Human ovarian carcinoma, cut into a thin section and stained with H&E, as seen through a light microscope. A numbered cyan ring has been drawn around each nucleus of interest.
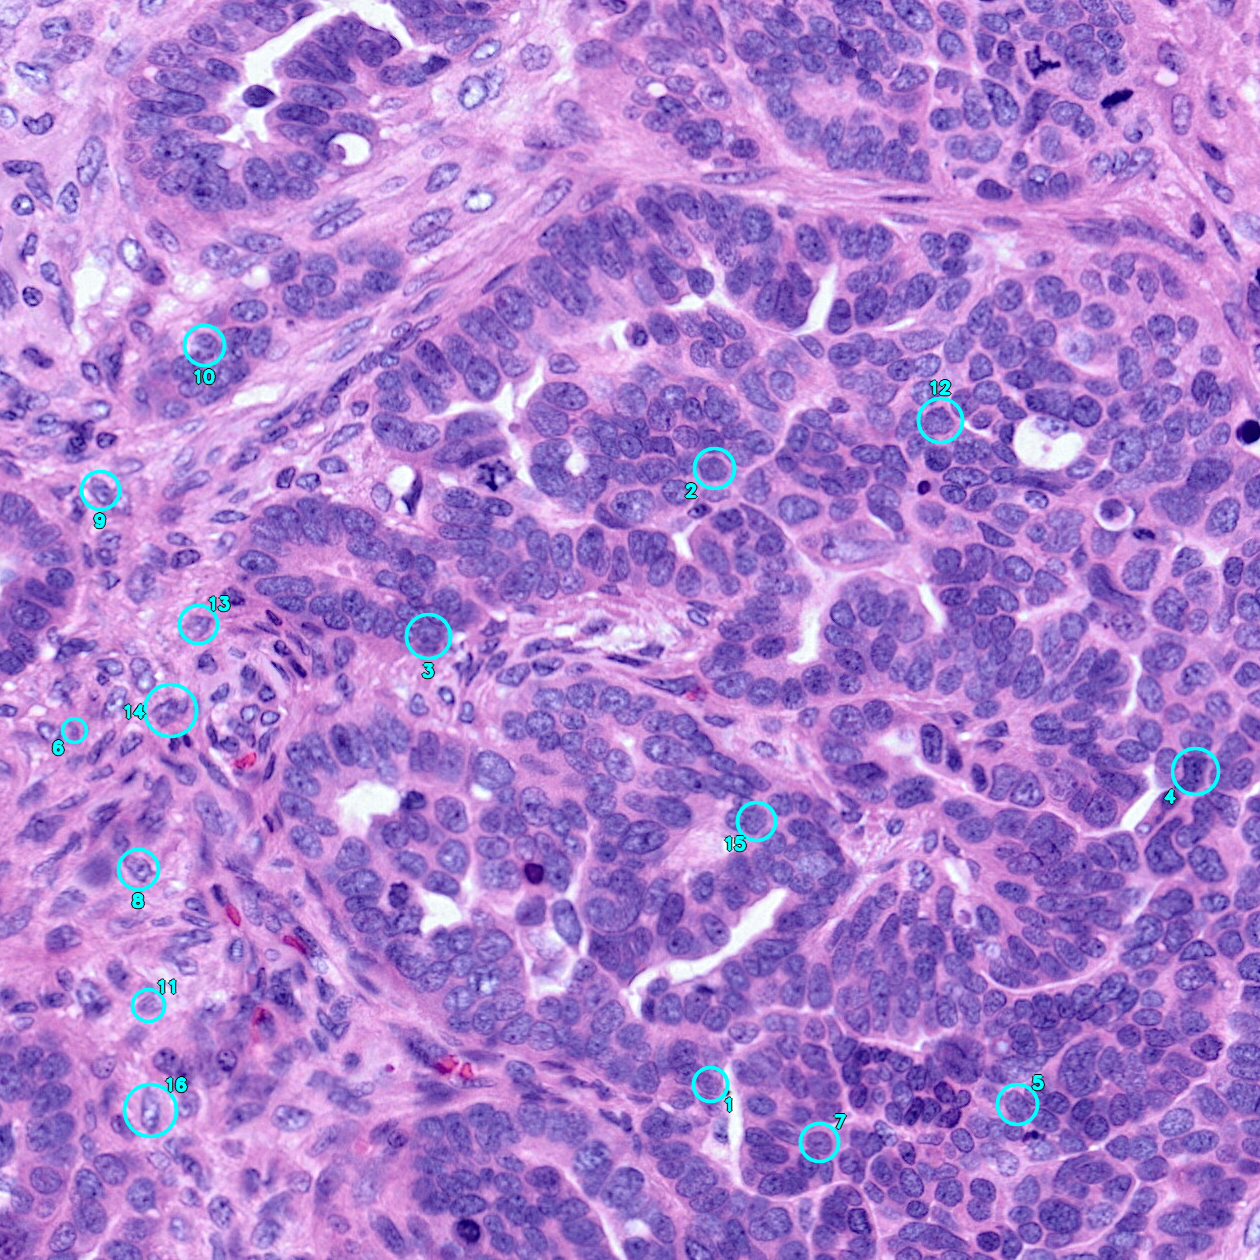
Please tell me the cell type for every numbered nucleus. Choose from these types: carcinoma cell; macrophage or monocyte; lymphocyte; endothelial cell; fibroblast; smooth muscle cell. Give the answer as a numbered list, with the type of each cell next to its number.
1. carcinoma cell
2. carcinoma cell
3. carcinoma cell
4. carcinoma cell
5. carcinoma cell
6. fibroblast
7. carcinoma cell
8. fibroblast
9. fibroblast
10. carcinoma cell
11. fibroblast
12. carcinoma cell
13. fibroblast
14. fibroblast
15. carcinoma cell
16. fibroblast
